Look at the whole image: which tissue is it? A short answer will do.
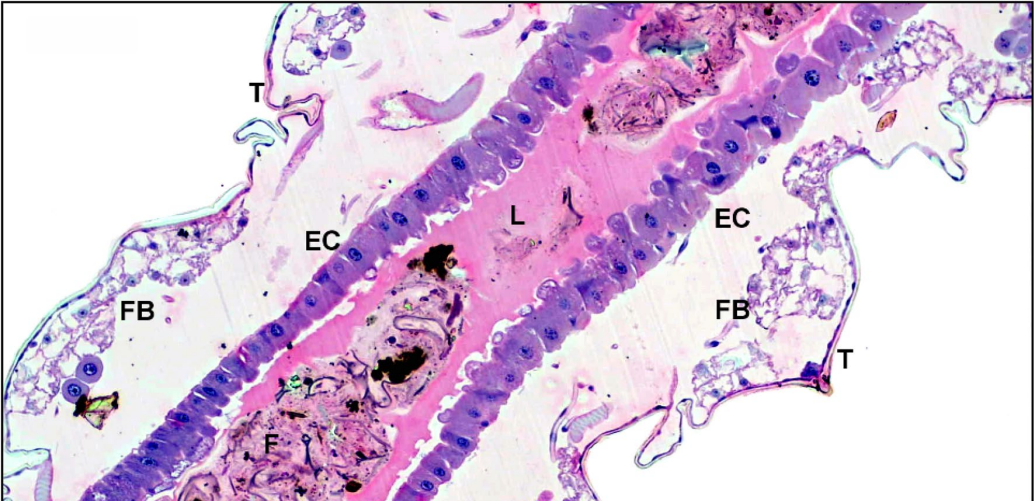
Midgut.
